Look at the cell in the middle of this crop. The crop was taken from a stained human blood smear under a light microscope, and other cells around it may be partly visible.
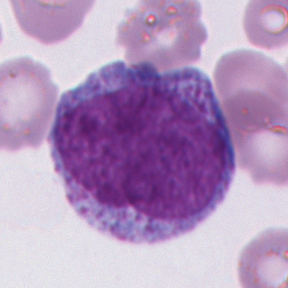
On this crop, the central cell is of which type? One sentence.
In the central position of this crop, the cell is a promyelocyte.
